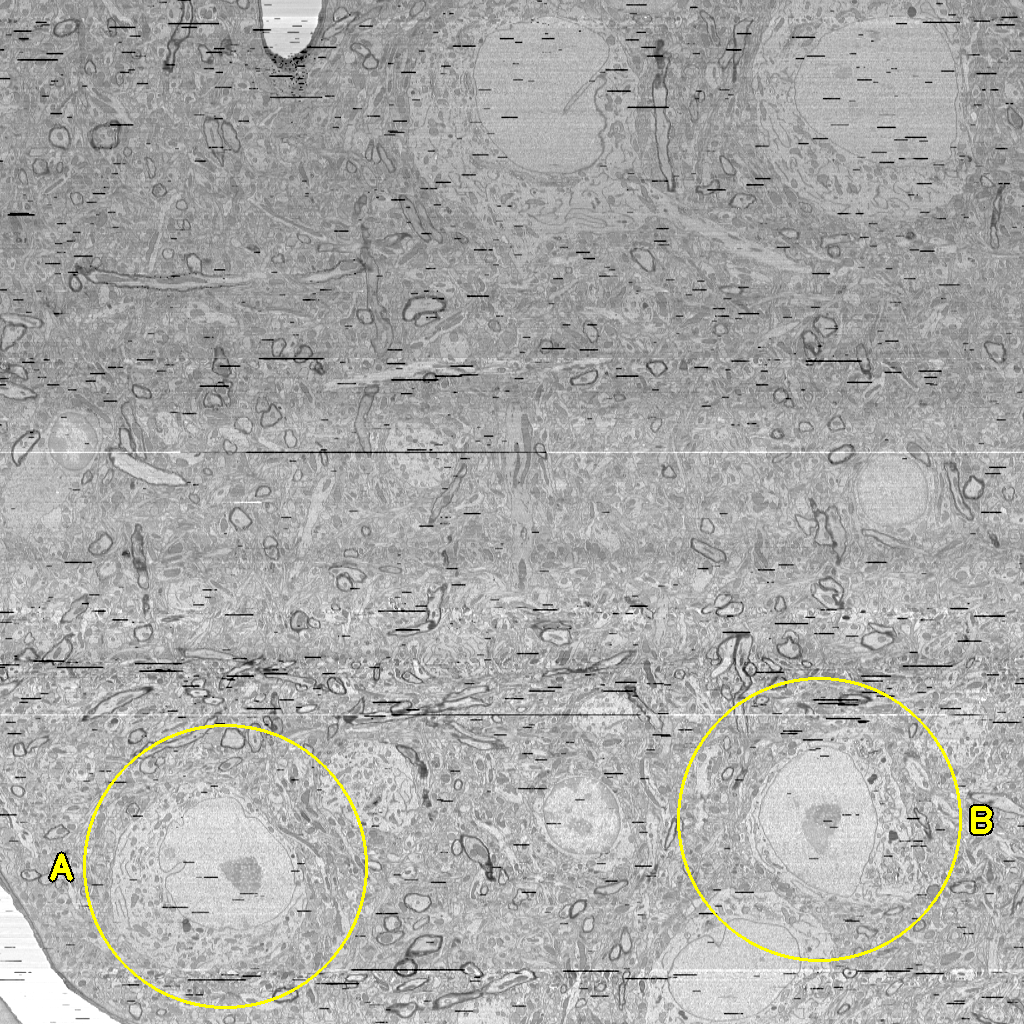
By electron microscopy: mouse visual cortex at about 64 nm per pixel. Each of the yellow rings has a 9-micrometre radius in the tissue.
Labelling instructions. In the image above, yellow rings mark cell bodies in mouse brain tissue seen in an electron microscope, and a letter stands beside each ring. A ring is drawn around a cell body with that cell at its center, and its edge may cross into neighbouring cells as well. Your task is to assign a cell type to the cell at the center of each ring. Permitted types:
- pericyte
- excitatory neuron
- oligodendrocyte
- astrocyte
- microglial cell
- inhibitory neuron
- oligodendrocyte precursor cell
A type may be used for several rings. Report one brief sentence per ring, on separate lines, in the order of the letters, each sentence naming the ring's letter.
The cell at the center of ring A is an excitatory neuron.
The cell at the center of ring B is an inhibitory neuron.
